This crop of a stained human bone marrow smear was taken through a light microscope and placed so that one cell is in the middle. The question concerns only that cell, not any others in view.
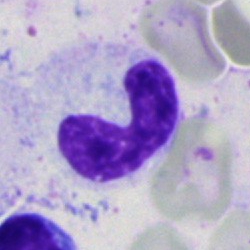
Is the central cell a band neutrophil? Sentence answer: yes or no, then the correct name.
Yes, placed in the middle of the crop is a band neutrophil.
